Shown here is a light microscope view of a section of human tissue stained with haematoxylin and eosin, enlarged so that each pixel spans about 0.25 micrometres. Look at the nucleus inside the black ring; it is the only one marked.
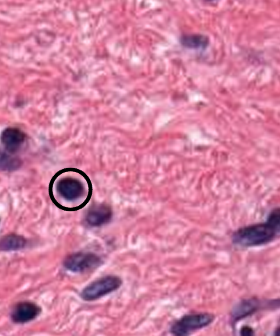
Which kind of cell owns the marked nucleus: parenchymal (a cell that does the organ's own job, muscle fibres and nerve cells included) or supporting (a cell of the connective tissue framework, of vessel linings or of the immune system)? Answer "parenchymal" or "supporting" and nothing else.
supporting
